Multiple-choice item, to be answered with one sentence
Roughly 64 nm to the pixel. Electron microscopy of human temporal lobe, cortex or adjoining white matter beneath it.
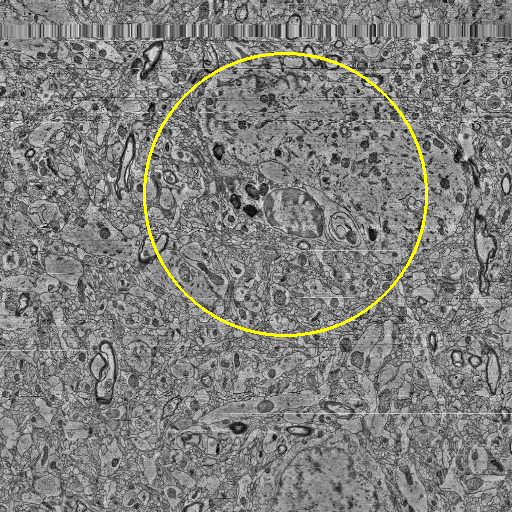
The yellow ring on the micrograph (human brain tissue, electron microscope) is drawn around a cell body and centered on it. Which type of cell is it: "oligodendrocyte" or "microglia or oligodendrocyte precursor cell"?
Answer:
The ring is centered on a microglial cell or oligodendrocyte precursor cell.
